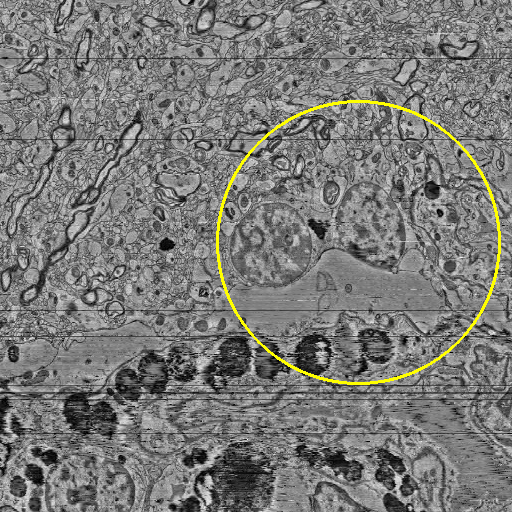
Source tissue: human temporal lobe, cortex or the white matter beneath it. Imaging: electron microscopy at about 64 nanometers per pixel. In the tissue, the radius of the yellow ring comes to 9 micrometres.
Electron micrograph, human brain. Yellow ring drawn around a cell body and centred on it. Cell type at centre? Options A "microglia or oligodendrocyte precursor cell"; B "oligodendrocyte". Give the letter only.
A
